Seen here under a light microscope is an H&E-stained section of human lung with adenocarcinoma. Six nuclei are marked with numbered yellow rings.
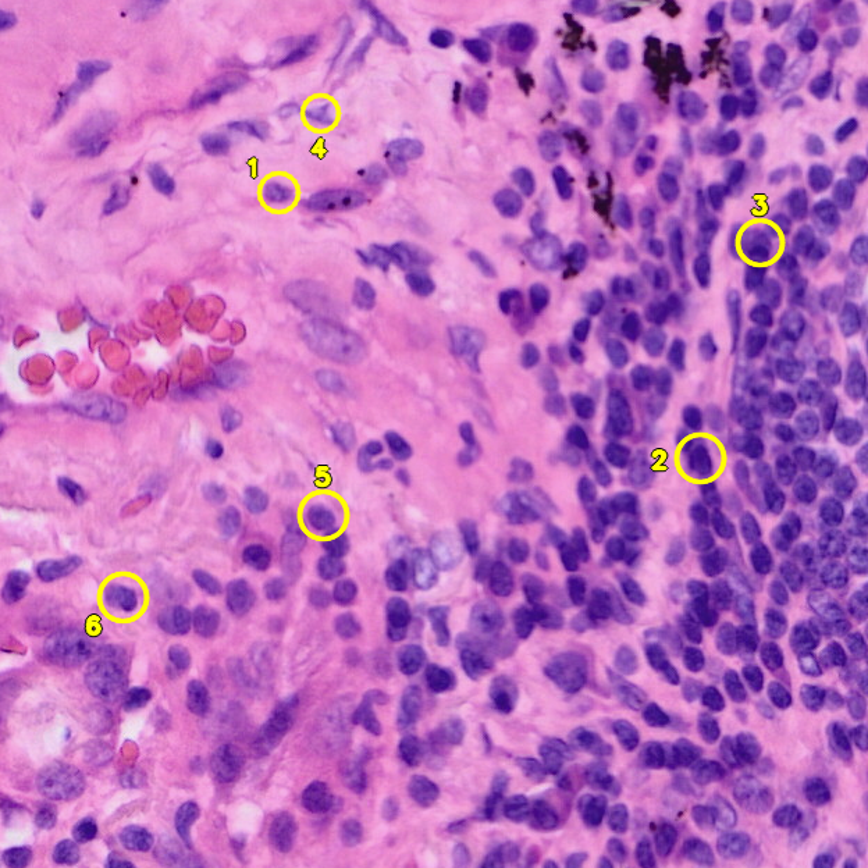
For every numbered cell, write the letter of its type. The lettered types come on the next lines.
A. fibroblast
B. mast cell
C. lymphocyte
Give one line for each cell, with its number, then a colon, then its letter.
1: B
2: C
3: C
4: A
5: C
6: C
